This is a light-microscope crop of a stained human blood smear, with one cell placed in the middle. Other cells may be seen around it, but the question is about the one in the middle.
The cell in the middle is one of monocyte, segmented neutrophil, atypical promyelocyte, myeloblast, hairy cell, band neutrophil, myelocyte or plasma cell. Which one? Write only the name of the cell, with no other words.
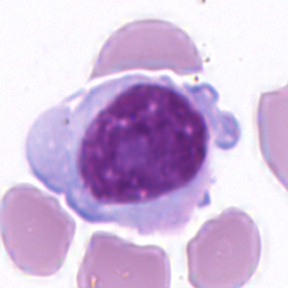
plasma cell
